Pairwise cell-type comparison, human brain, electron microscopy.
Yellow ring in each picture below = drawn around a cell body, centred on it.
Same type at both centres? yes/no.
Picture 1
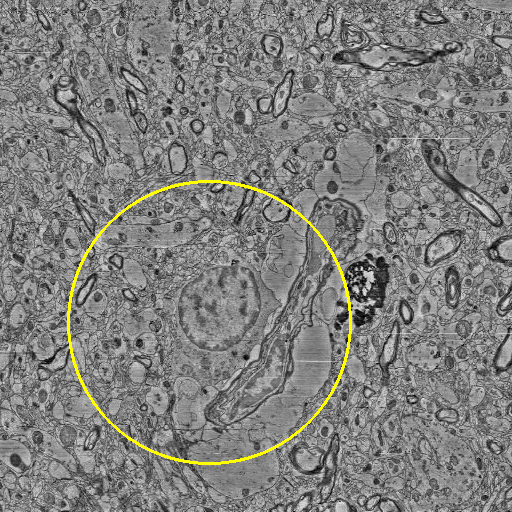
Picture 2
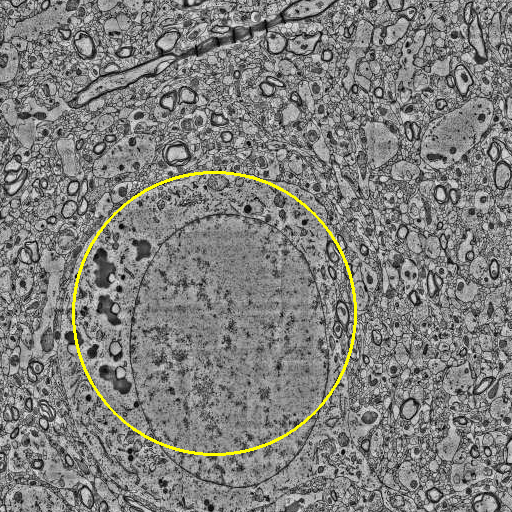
no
